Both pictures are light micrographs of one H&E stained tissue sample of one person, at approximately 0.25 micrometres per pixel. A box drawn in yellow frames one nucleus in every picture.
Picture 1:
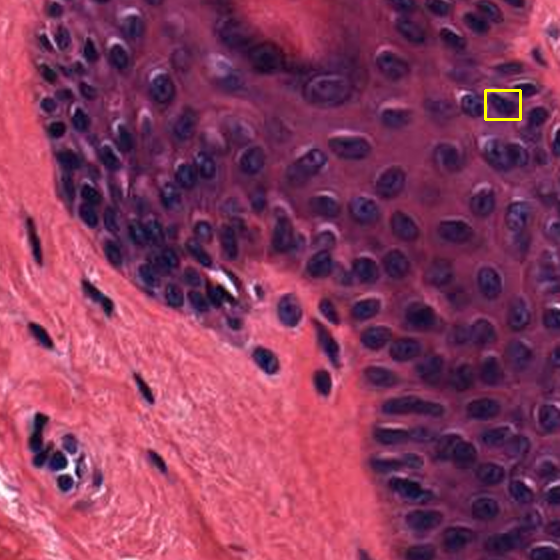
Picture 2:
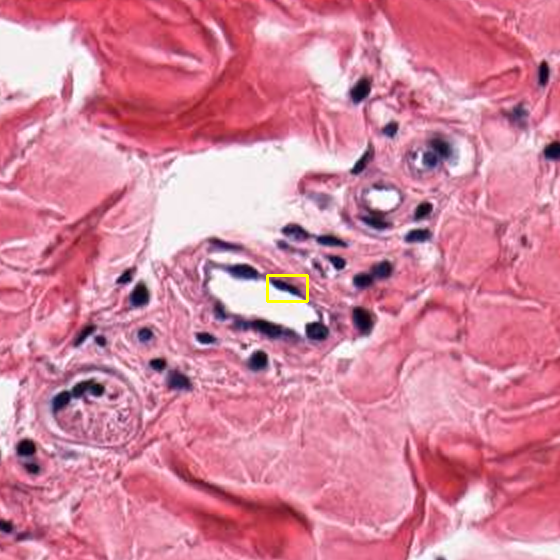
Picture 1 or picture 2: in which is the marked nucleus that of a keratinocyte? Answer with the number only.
1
